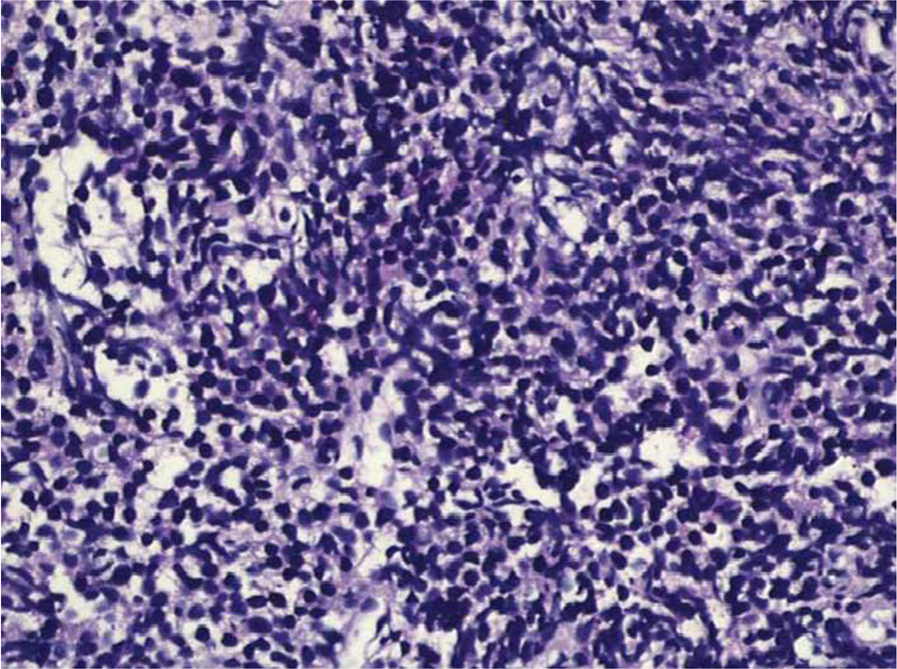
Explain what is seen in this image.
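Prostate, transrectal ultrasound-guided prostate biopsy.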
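Small cell carcinoma: sheets of small malignant epithelial cells with dark, hyperchromatic round to oval nuclei and very scant cytoplasm. The cells lie closely crowded, some nuclei elongated and pressed against one another. A loose, pale purple stroma with small clear spaces lies between them, and no glands are formed.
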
